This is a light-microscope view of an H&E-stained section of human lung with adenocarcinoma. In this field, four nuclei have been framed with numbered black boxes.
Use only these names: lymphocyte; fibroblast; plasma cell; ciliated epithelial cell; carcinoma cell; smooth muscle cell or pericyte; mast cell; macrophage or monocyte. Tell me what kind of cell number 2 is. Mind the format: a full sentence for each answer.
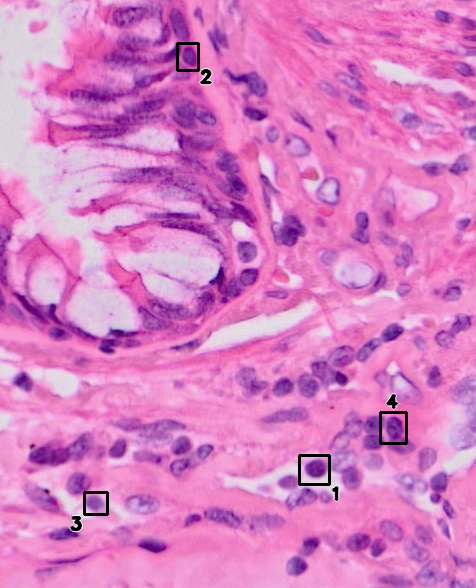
The cell identified by the number 2 is a ciliated epithelial cell.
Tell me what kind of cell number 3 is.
What the number 3 marks in this field is a lymphocyte.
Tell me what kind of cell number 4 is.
The numbered cell 4 is identified here as a lymphocyte.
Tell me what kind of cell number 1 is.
The cell tagged with 1 in this tissue section is a lymphocyte.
